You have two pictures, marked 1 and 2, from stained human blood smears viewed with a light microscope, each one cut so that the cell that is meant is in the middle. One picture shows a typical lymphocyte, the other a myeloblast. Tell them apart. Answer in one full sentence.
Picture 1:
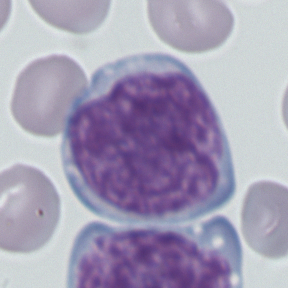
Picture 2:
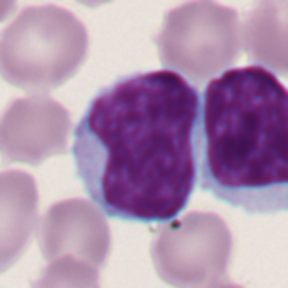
Picture 1 shows a myeloblast and picture 2 shows a typical lymphocyte.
